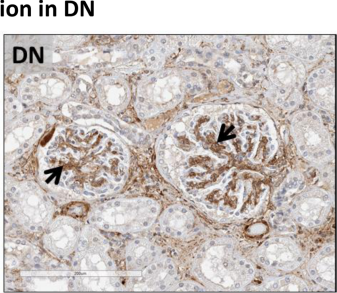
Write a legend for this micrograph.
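The brown material is coarse and confluent rather than thread-like. Brown stain also lines the tissue between the tubules and the wall of a small vessel beside one glomerulus.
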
